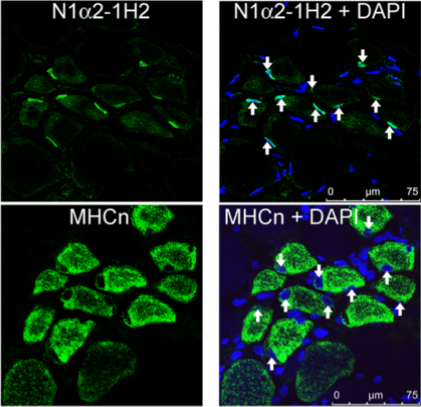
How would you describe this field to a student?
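Cross-sectioned skeletal muscle with a cluster of small regenerating fibres among larger fibres, with many blue nuclei in the spaces between fibres. In the upper frame green stain forms bright arcs around nuclei at the edges of fibres, with faint green in fibre interiors; in the lower frame the regenerating fibres are filled with bright green while larger fibres are dim.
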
